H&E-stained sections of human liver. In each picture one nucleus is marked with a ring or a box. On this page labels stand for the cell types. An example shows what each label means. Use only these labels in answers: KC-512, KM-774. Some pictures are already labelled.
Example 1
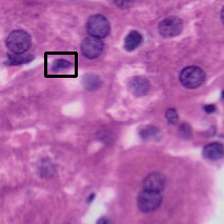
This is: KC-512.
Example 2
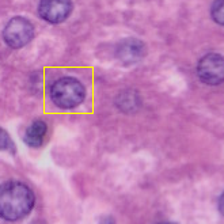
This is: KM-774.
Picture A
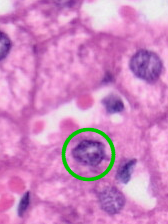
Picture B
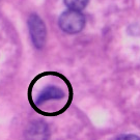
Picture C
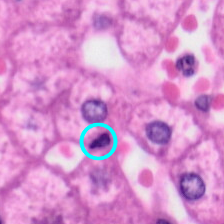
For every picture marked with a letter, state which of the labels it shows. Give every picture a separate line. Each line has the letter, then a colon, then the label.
A: KM-774.
B: KC-512.
C: KC-512.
